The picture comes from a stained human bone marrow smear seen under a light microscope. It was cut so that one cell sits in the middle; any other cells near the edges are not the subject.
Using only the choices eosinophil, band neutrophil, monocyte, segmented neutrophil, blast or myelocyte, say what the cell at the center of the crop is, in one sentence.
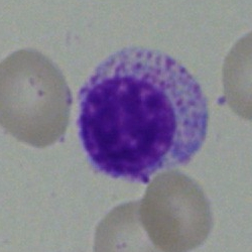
The middle position in this crop is taken by a myelocyte.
